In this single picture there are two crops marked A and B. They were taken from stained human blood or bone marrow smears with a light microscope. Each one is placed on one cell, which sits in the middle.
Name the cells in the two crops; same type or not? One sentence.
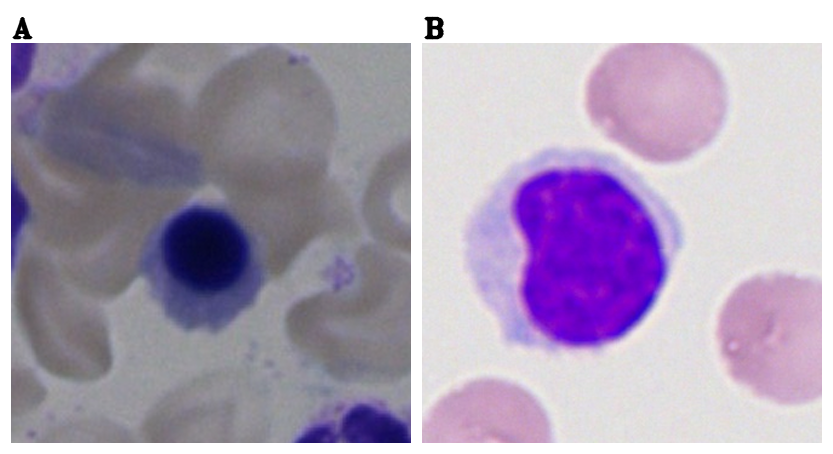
No, crop A is where an erythroblast is, and crop B is where a lymphocyte is.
